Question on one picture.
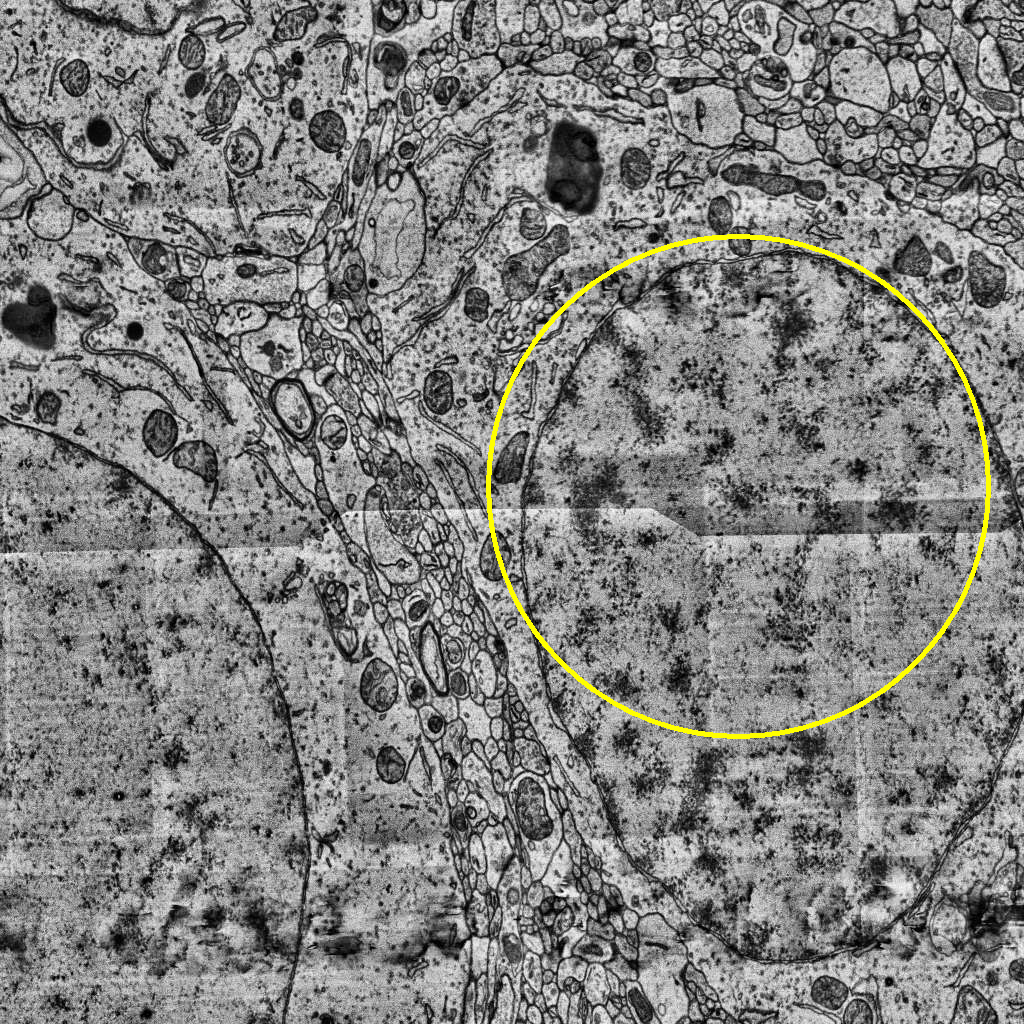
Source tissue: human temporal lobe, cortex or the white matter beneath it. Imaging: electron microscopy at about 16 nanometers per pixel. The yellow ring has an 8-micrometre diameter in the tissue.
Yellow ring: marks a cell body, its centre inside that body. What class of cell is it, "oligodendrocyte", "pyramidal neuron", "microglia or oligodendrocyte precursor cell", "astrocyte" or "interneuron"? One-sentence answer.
This is an interneuron, the cell at the ring's centre.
